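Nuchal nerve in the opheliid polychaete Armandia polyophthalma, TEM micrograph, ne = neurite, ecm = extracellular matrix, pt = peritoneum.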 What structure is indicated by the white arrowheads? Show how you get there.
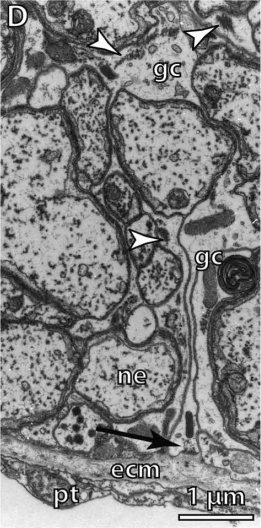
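The marked processes run between larger pale profiles.
Answer: bundles of intermediate filaments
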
